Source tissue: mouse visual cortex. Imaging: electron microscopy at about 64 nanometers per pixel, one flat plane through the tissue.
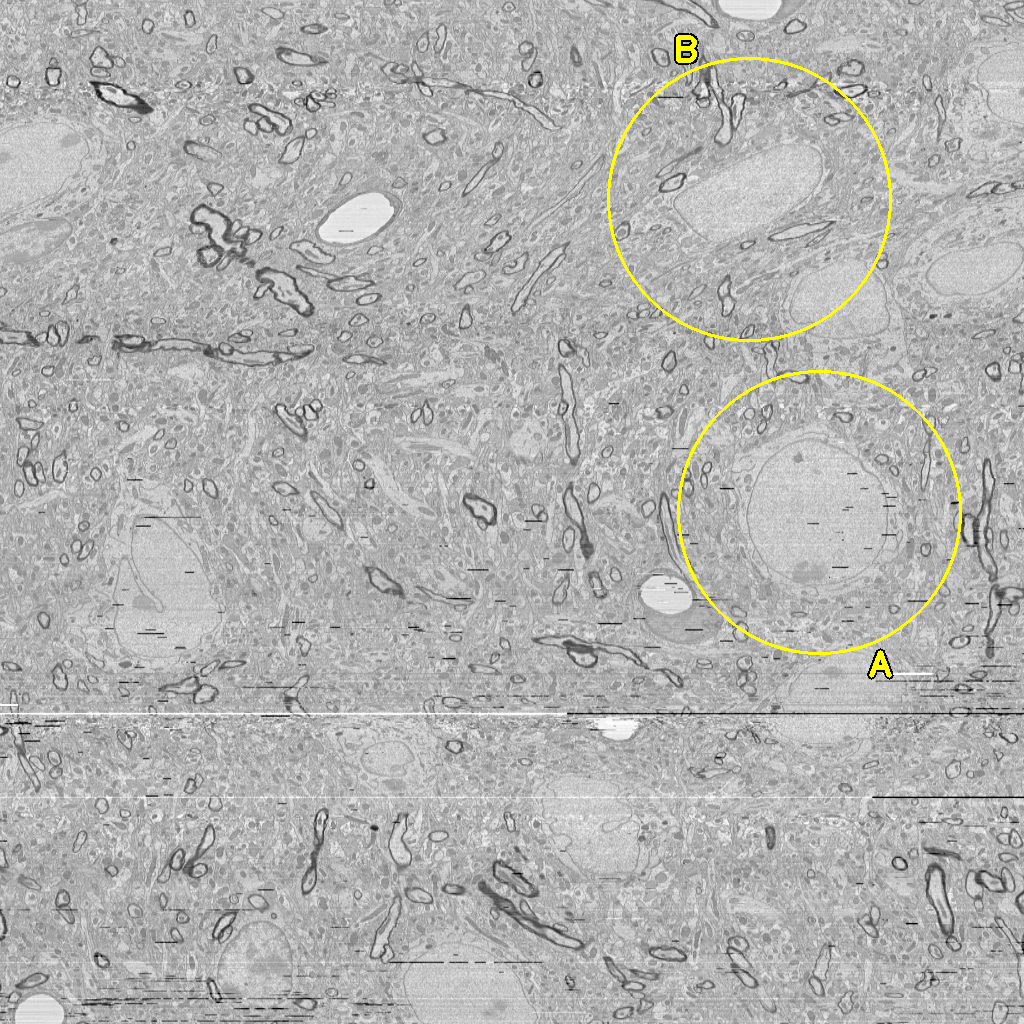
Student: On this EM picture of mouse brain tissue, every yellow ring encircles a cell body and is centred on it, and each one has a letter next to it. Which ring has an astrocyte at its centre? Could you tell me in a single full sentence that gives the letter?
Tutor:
Ring B is the one drawn around the cell you are asking about.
